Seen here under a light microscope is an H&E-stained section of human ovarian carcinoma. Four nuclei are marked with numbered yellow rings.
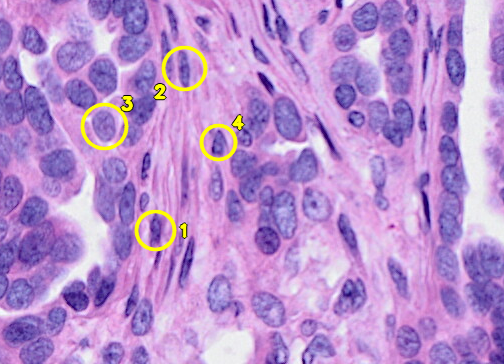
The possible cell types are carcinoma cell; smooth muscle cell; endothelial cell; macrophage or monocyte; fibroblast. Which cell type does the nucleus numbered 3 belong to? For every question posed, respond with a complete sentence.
As for number 3, that cell is a carcinoma cell.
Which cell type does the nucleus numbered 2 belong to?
The cell with the number 2 is a fibroblast.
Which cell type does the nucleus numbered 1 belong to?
The numbered cell 1 in this field is a fibroblast.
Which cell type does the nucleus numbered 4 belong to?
The cell that goes by number 4 is a fibroblast.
